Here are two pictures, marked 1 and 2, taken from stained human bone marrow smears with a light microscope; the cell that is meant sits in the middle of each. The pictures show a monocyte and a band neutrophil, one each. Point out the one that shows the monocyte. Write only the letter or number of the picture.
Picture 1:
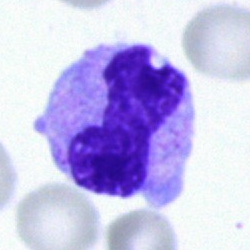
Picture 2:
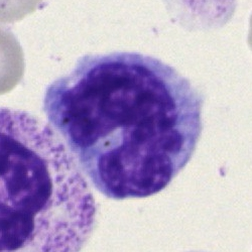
2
